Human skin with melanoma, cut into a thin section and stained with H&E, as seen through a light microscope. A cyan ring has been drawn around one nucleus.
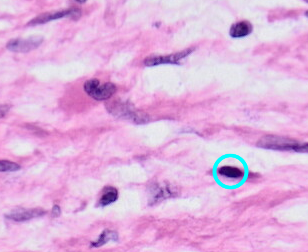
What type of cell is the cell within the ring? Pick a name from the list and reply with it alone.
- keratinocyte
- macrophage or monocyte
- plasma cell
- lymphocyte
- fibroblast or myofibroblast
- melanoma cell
plasma cell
